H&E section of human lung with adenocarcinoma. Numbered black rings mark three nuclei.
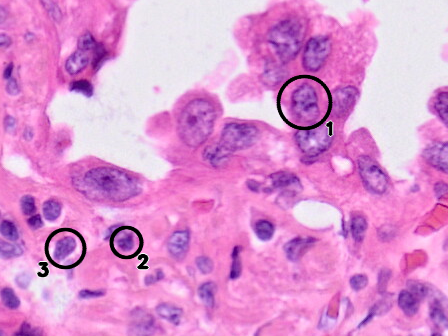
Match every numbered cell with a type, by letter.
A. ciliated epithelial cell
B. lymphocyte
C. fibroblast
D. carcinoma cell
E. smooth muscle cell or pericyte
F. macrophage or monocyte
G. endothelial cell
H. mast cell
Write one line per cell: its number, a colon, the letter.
1: D
2: B
3: B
